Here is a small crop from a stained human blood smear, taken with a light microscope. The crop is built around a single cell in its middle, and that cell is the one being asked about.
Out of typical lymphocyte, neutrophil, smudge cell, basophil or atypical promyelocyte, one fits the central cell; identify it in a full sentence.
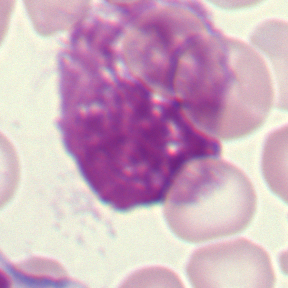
The cell centred in this crop is categorized as a smudge cell.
